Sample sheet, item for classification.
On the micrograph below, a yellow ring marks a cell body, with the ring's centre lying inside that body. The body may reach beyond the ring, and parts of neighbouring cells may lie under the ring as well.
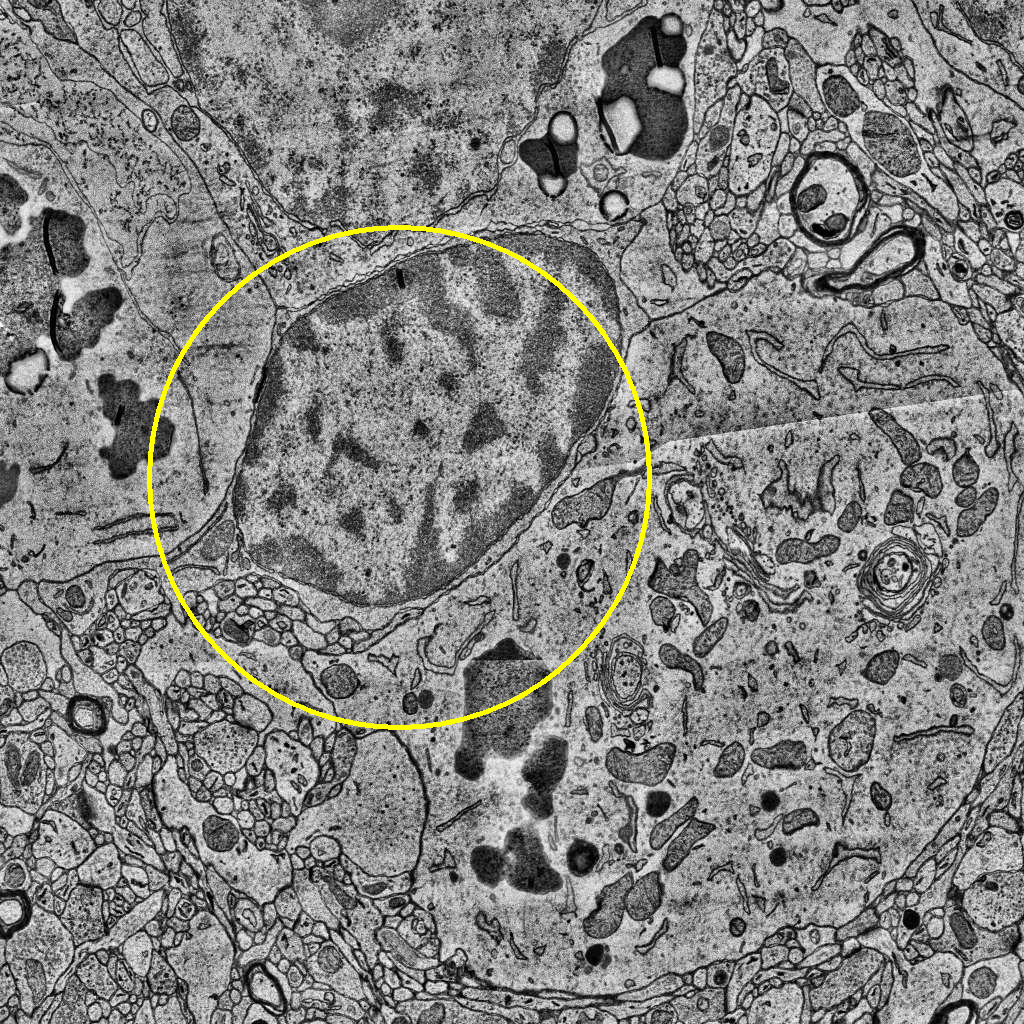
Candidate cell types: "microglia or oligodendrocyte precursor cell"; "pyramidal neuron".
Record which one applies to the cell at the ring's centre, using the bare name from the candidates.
microglia or oligodendrocyte precursor cell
